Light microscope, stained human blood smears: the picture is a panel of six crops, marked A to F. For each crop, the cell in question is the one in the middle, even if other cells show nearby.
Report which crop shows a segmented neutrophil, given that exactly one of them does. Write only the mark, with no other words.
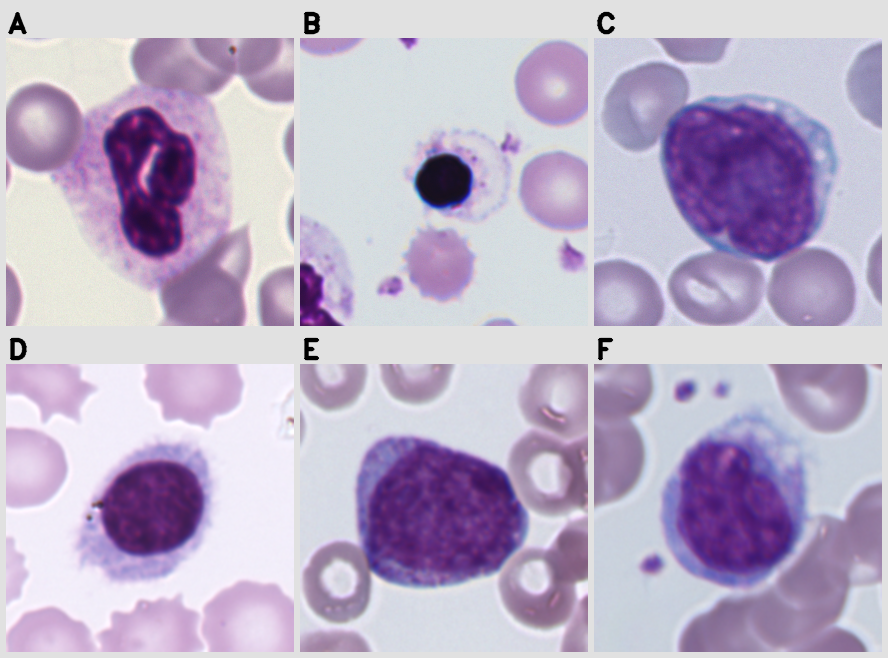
A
